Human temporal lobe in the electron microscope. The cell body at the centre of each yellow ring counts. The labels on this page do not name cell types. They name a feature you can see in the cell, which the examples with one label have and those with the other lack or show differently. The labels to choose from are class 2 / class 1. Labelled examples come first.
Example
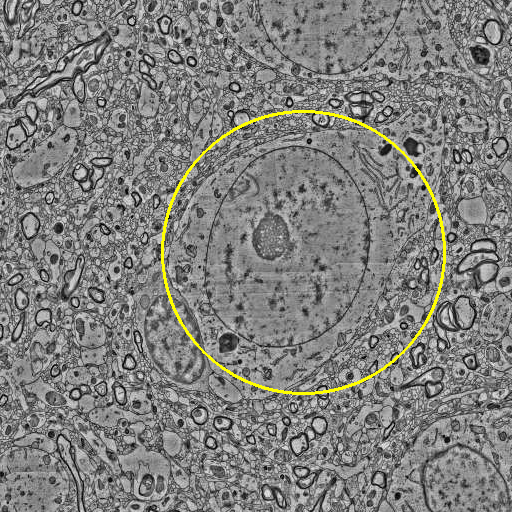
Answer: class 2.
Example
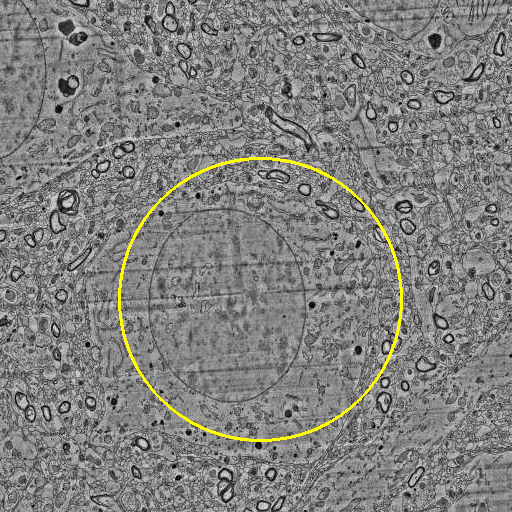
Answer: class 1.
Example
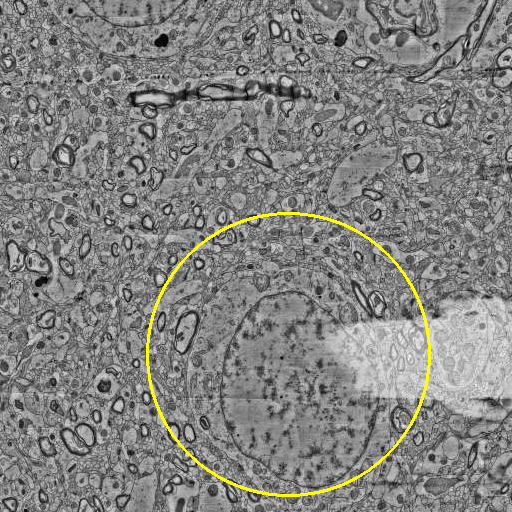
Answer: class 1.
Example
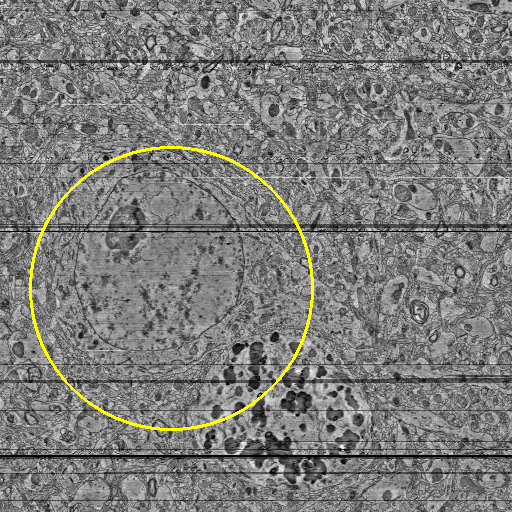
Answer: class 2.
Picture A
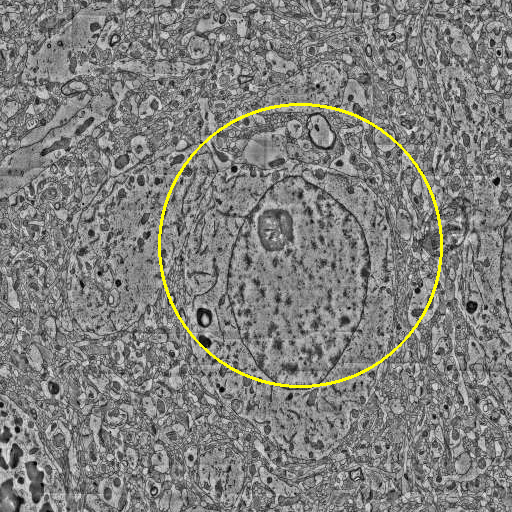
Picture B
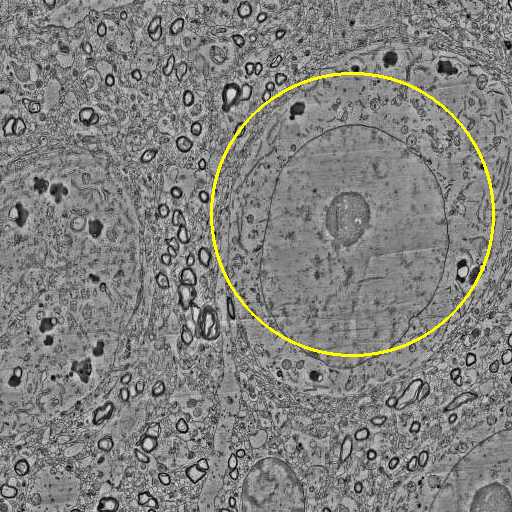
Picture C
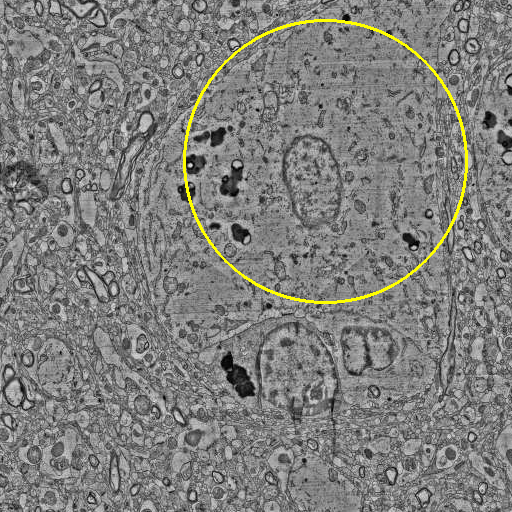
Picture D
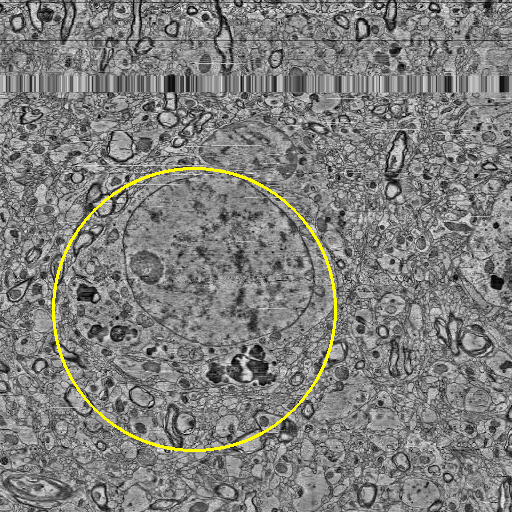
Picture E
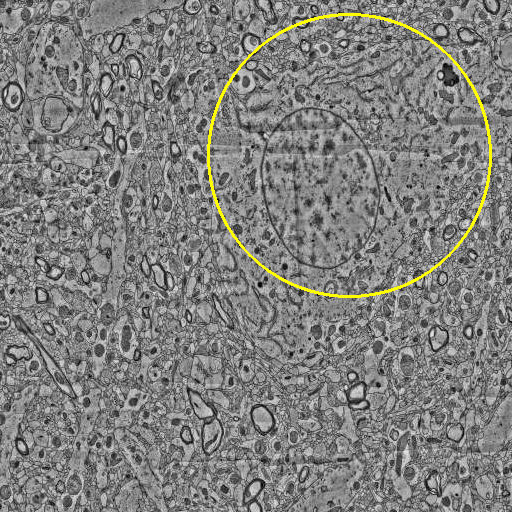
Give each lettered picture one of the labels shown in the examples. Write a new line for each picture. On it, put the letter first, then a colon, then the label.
A: class 2.
B: class 2.
C: class 1.
D: class 2.
E: class 1.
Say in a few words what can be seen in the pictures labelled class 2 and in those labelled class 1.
Seen in class 2: nucleolus seen; seen in class 1: no nucleolus seen.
